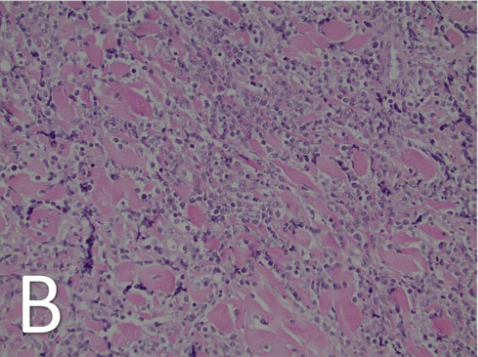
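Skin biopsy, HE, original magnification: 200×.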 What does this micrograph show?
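Dermis diffusely infiltrated by small, monotonous blastoid cells. The cells are of fairly uniform size, with round to slightly irregular dark purple nuclei and scant pale cytoplasm. Small pale clefts and spaces are scattered among the cells. No epidermis is seen in this field; the picture is dominated by the crowded small cells dissecting the dermal connective tissue.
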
